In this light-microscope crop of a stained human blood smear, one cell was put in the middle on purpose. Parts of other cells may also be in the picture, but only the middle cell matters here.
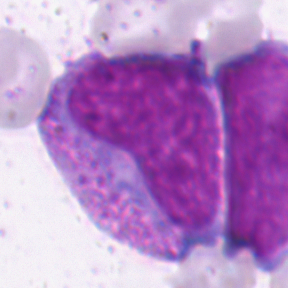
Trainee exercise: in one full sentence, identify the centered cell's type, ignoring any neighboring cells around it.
Framed in the middle of the crop is a promyelocyte.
